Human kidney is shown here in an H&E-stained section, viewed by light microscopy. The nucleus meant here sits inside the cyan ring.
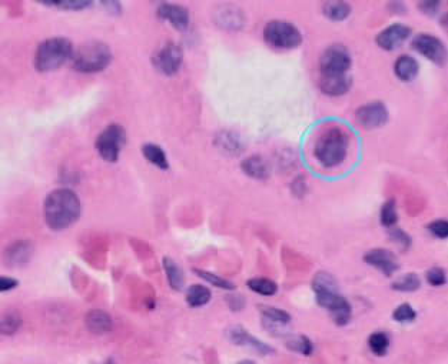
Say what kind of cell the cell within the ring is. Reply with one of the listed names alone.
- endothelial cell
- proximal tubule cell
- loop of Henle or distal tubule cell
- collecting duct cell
loop of Henle or distal tubule cell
